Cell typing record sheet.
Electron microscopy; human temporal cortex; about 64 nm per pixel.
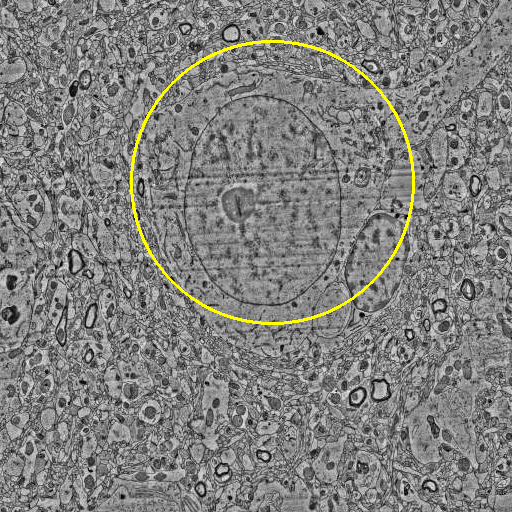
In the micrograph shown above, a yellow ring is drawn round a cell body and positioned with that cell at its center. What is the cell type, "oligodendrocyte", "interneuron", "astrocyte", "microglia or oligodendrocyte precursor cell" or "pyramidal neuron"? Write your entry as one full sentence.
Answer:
The cell body at the center of the ring belongs to a pyramidal neuron.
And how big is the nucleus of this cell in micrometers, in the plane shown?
The nucleus appears roughly 13 by 10 micrometres in this plane.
